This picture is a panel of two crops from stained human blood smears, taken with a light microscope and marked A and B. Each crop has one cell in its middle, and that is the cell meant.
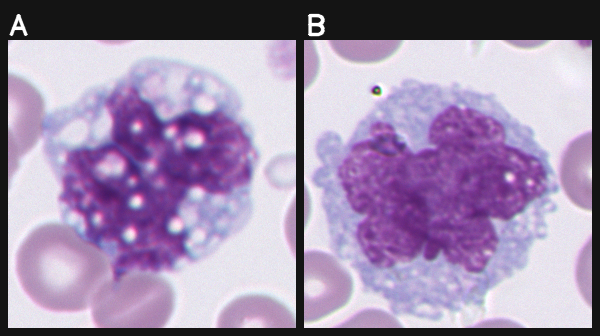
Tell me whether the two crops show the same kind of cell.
yes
